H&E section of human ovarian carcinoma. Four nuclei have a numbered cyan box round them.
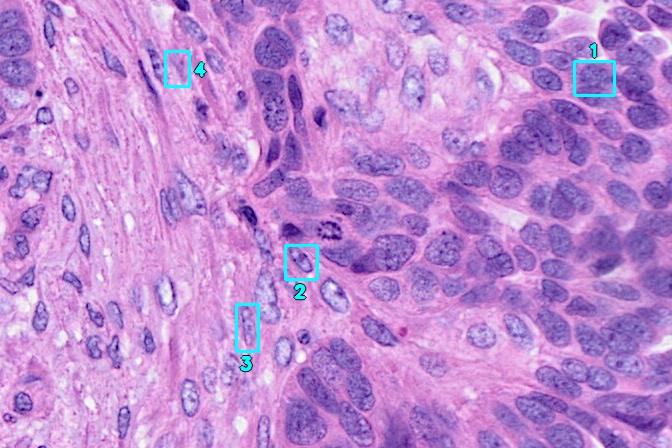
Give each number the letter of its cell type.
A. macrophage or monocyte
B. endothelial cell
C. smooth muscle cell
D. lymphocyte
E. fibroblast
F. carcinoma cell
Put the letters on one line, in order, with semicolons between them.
F; E; E; E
